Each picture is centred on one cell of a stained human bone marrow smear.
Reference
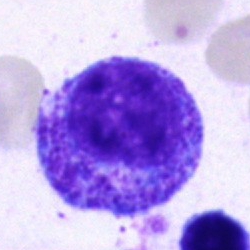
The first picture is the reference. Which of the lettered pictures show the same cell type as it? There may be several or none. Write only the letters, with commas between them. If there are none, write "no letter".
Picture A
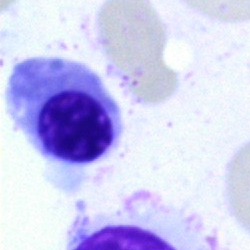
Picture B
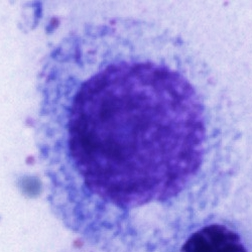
B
